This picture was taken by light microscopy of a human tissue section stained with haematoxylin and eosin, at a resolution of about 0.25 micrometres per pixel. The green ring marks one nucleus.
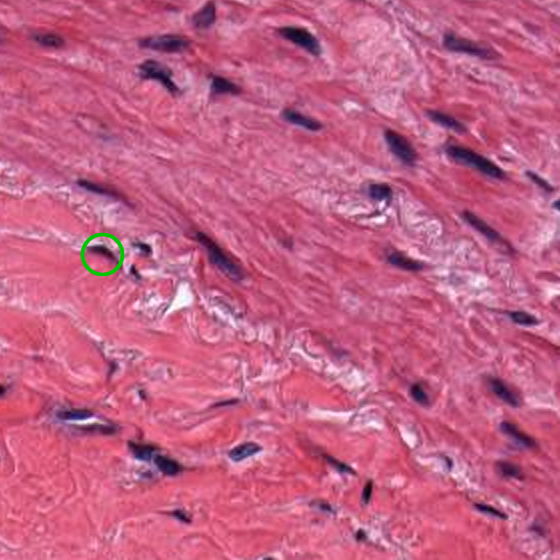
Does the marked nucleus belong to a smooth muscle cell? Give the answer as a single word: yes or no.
no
